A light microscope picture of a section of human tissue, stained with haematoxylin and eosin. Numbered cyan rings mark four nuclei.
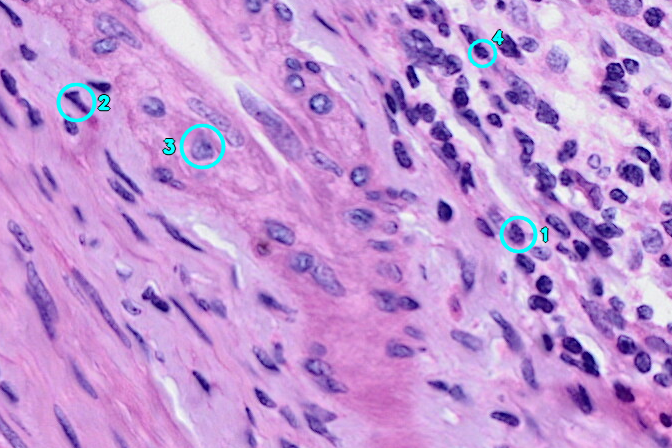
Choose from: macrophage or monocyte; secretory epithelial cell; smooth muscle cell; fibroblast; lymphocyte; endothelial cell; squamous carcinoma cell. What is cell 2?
fibroblast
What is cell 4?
lymphocyte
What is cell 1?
lymphocyte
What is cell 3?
smooth muscle cell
